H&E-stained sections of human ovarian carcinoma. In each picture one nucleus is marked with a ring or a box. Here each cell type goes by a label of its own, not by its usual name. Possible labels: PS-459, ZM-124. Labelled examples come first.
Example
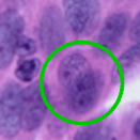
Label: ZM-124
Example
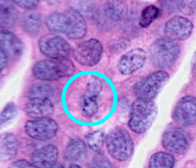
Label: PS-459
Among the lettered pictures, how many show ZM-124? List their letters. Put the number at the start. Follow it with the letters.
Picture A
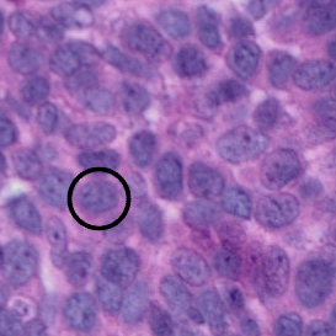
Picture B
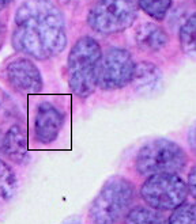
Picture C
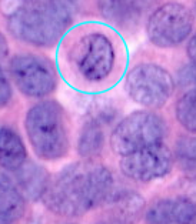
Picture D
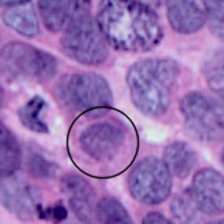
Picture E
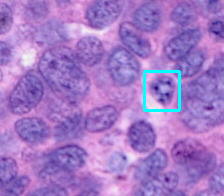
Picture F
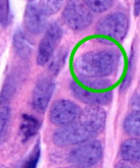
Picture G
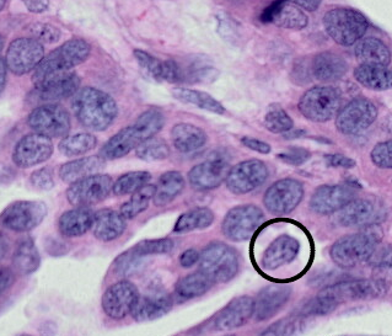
3: A, D, F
